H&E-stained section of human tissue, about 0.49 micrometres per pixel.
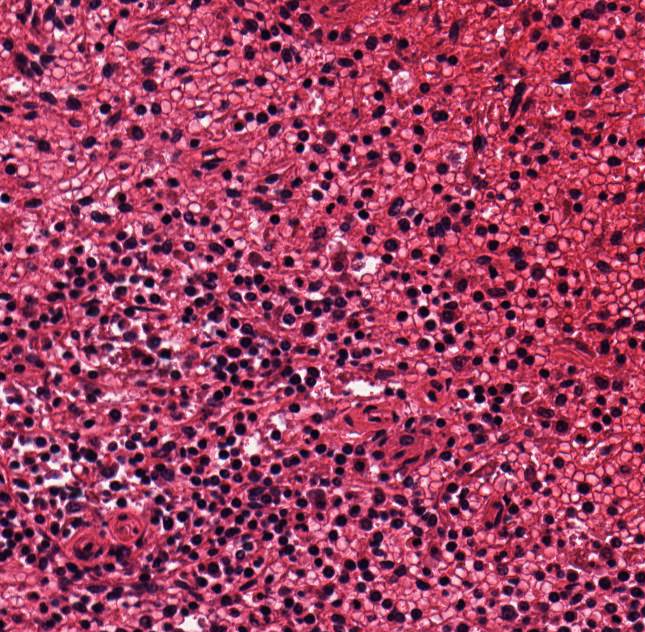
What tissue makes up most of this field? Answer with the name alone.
red pulp of the spleen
